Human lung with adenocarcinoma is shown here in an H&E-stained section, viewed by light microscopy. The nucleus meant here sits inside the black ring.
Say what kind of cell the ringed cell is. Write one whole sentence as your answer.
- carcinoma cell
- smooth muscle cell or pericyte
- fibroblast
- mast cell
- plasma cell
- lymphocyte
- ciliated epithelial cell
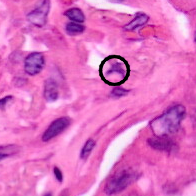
In this section of tissue, the ringed cell is a fibroblast.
